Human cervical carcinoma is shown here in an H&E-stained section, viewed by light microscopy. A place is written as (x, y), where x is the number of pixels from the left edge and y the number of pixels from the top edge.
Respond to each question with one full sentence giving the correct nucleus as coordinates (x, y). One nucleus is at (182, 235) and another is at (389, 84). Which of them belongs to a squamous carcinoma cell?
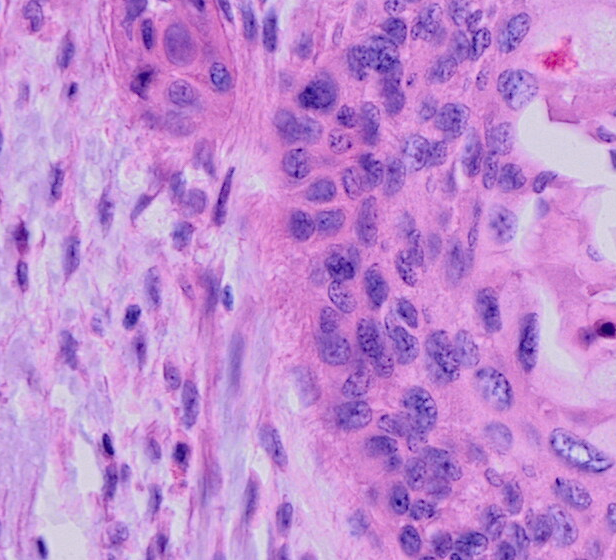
Of the two, the nucleus at (389, 84) is the one contained in a squamous carcinoma cell.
